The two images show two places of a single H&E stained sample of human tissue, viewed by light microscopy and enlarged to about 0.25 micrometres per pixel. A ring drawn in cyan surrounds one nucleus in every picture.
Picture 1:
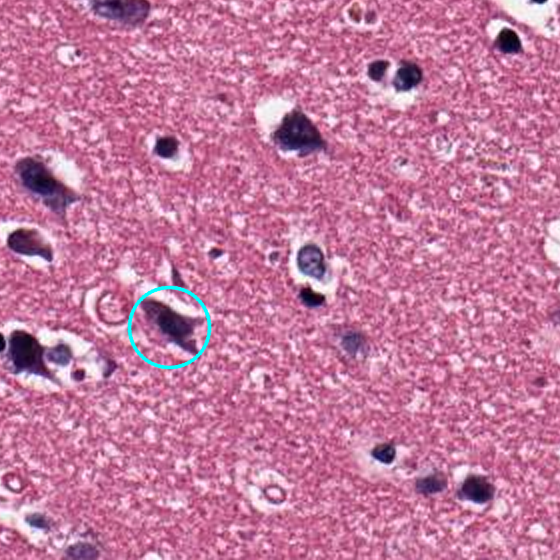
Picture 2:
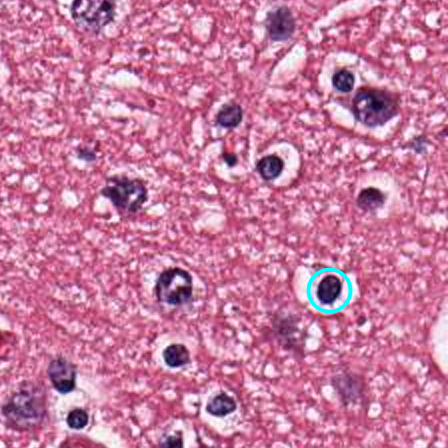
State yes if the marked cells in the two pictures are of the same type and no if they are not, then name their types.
No, the first is a neuron and the second an oligodendrocyte.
